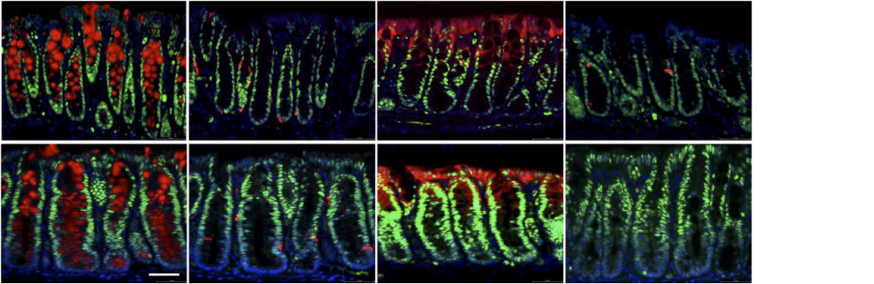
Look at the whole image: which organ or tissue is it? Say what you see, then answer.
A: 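Straight, parallel tubular crypts lined by a single epithelial layer. No villi; crypts open onto a flat surface.
Hence: colonic mucosa.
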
